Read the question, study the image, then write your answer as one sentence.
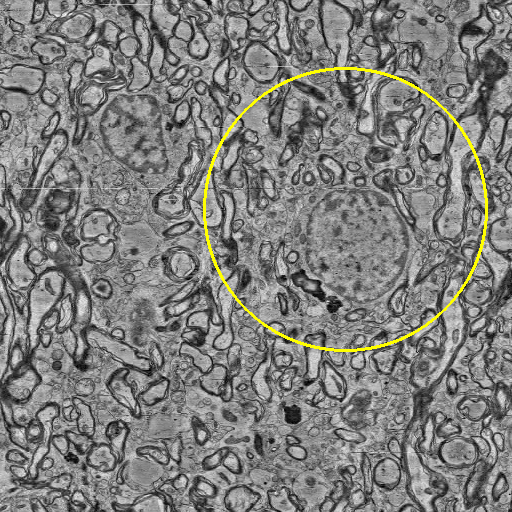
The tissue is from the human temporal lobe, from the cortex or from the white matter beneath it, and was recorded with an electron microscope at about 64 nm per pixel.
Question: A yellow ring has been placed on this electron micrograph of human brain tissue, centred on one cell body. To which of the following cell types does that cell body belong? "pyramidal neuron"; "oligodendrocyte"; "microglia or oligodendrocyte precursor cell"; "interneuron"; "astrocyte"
That cell body belongs to an oligodendrocyte.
